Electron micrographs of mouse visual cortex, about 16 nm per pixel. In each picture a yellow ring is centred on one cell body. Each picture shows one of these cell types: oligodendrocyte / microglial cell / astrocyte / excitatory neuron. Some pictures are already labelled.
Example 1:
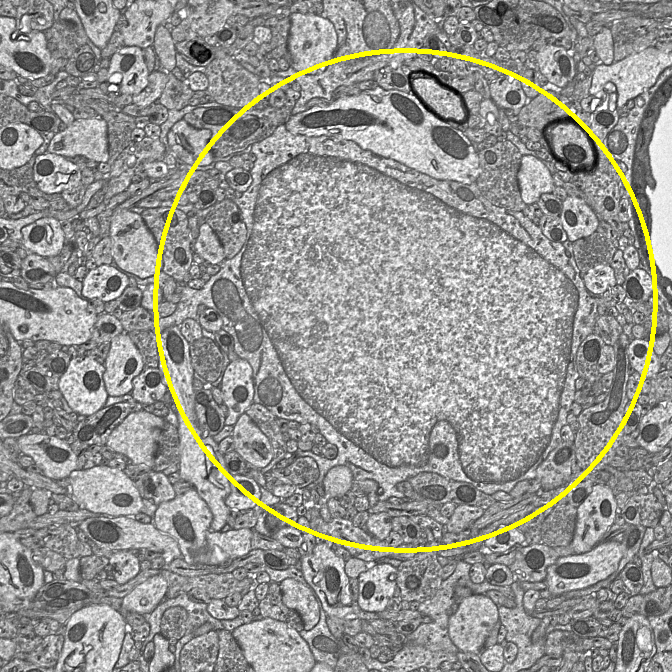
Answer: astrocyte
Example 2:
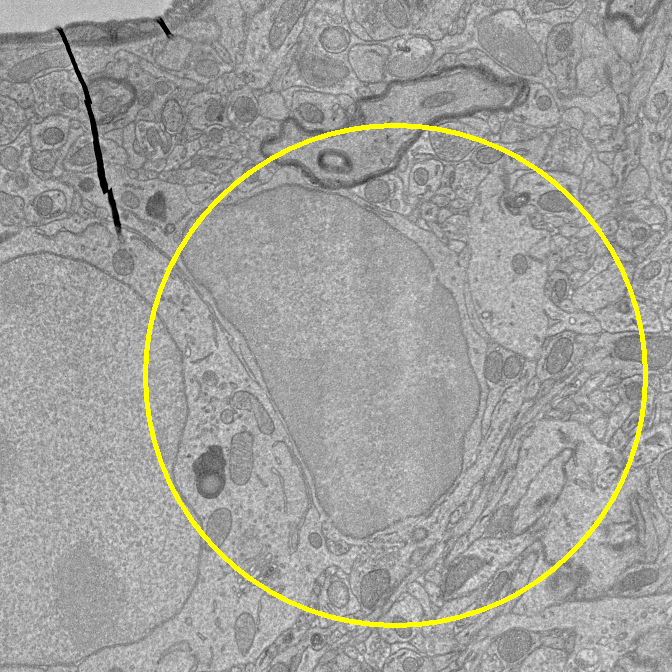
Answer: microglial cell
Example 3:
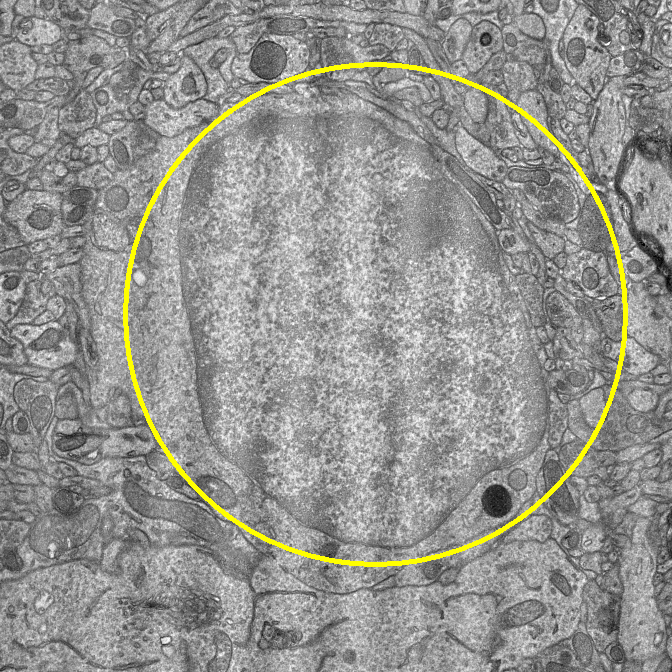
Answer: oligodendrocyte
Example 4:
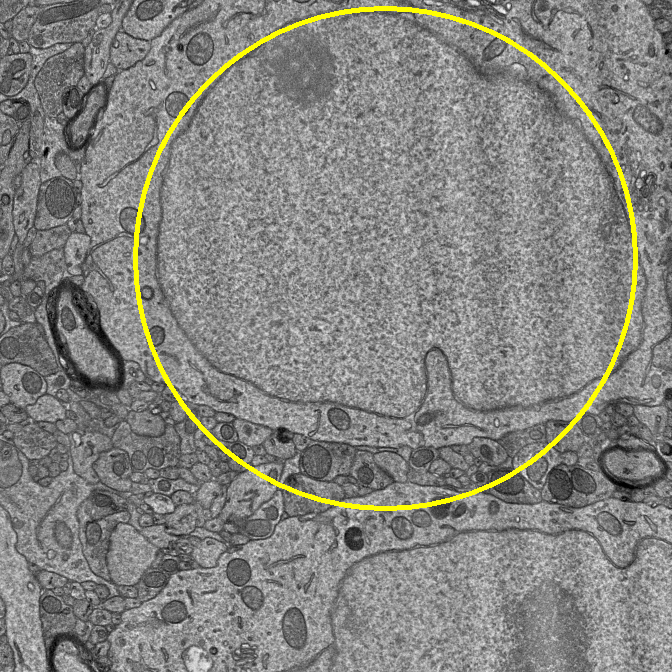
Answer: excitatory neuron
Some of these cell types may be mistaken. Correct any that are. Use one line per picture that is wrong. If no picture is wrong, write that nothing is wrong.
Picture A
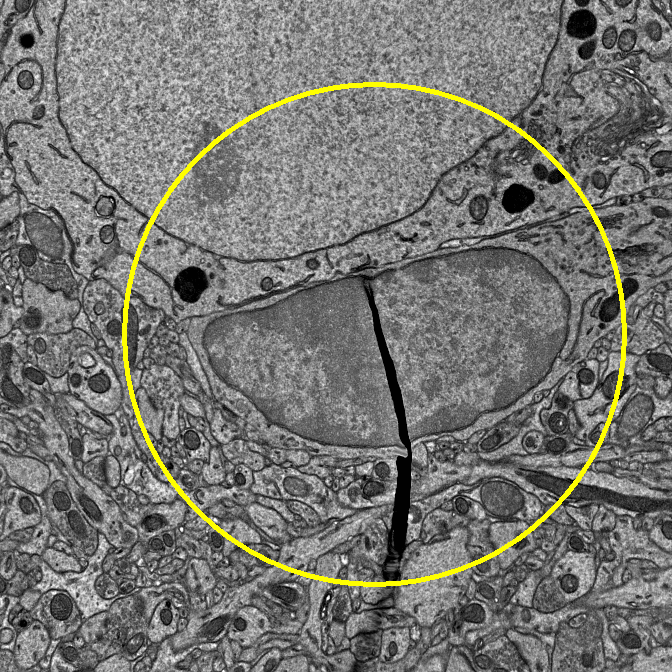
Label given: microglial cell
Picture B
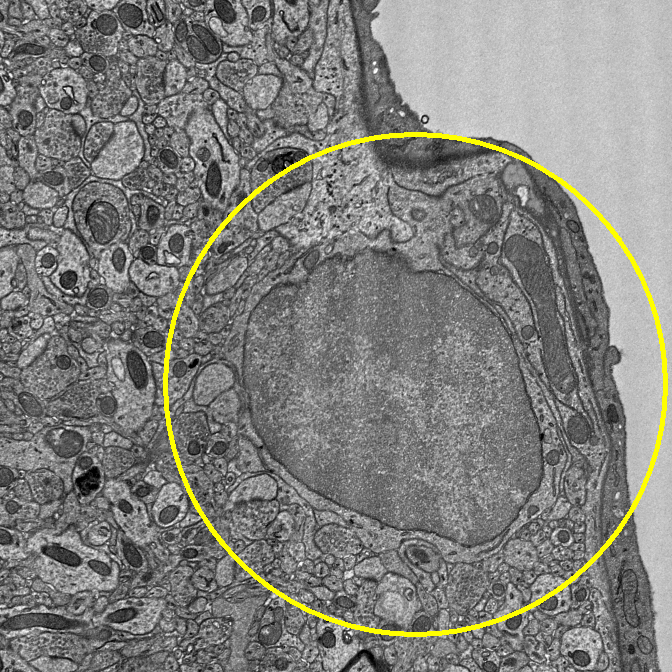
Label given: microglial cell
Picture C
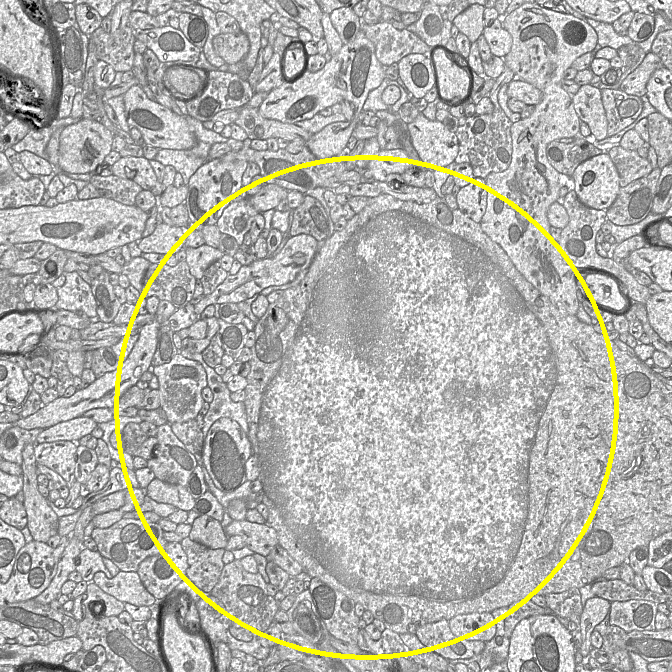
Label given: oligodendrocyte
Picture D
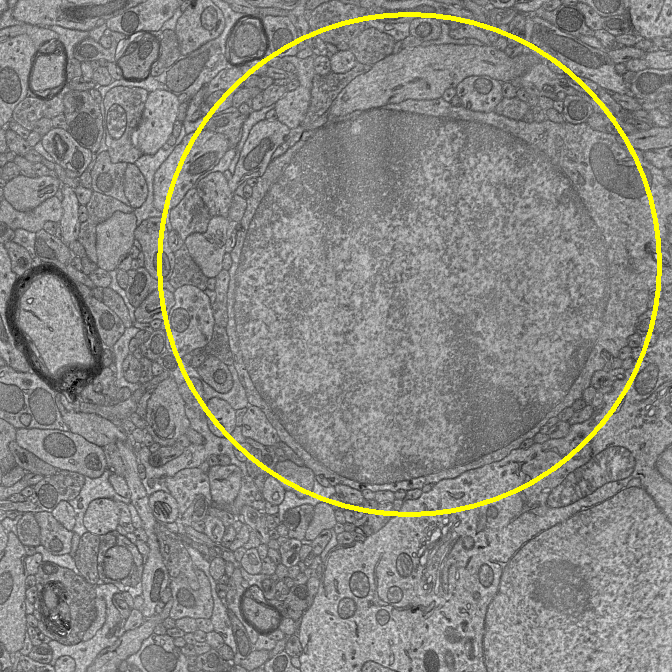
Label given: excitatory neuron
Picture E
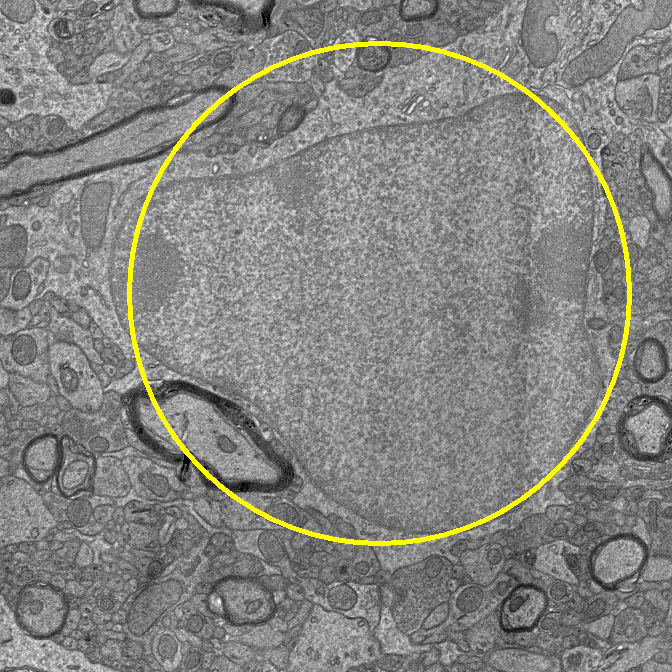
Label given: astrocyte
Wrong: D (excitatory neuron); correct: oligodendrocyte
